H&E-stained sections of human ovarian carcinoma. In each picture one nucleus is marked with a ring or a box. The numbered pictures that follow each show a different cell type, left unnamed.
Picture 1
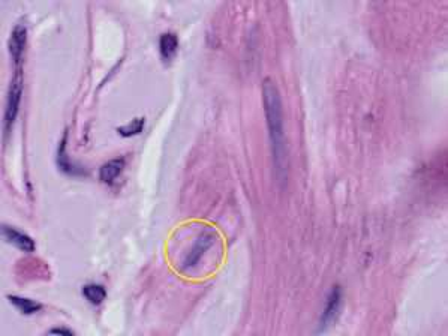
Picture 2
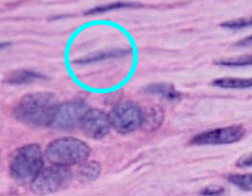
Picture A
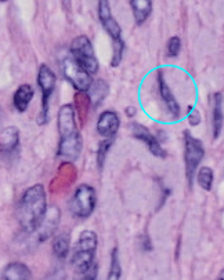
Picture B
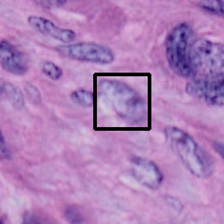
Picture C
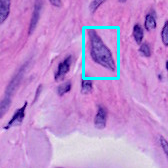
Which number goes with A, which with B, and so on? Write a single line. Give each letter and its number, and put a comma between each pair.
A 2, B 2, C 1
